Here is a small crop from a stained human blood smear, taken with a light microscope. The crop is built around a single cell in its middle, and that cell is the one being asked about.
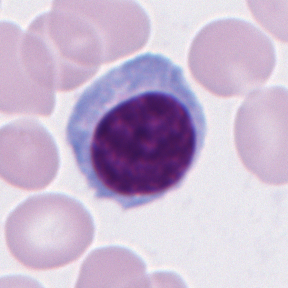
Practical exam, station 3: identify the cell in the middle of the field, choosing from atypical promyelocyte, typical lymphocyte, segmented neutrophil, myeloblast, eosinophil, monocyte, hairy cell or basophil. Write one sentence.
The centrally positioned cell in the crop represents a typical lymphocyte.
